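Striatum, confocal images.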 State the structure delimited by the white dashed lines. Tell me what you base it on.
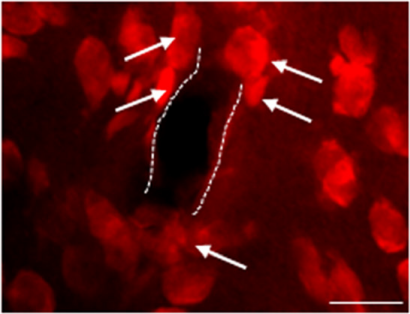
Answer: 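A dark, elongated, unstained channel lies between the two dashed lines. The answer: blood vessel.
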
